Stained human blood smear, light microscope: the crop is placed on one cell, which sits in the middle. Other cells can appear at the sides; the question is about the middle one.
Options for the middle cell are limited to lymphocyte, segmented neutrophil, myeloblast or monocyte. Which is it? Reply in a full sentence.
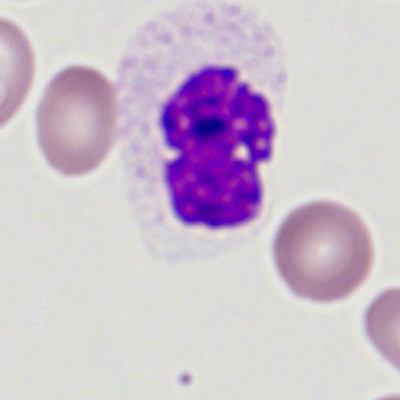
Regarding the central cell, it is a segmented neutrophil.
